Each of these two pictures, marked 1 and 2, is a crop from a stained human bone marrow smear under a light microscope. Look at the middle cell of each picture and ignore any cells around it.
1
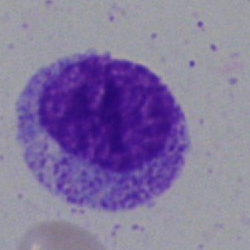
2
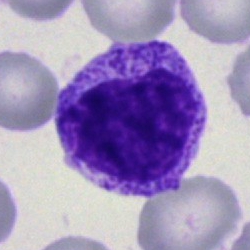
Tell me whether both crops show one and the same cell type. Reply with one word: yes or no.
yes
